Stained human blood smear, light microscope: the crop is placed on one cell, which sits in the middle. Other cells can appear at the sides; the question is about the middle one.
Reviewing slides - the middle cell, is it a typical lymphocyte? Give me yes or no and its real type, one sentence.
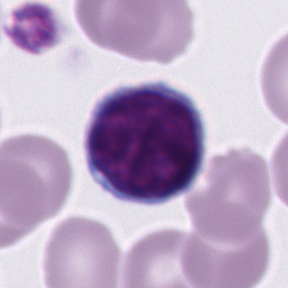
Yes, the cell that the crop is centered on is a typical lymphocyte.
